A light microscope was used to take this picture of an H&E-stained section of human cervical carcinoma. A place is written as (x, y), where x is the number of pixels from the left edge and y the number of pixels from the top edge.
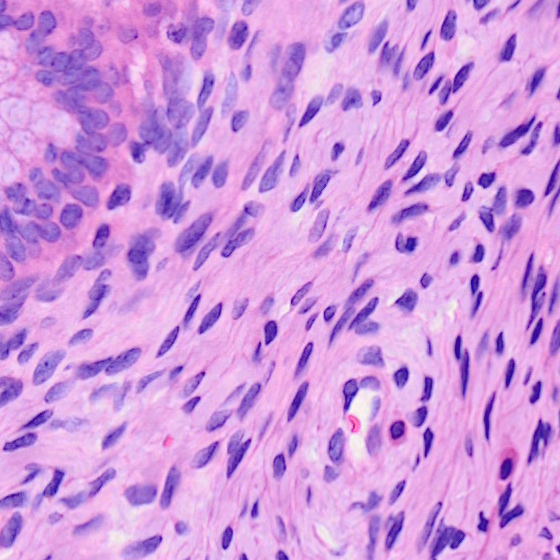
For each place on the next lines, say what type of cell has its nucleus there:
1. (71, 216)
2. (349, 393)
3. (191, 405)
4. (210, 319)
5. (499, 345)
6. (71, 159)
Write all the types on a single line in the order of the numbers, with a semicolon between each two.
secretory epithelial cell; endothelial cell; fibroblast; fibroblast; fibroblast; secretory epithelial cell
